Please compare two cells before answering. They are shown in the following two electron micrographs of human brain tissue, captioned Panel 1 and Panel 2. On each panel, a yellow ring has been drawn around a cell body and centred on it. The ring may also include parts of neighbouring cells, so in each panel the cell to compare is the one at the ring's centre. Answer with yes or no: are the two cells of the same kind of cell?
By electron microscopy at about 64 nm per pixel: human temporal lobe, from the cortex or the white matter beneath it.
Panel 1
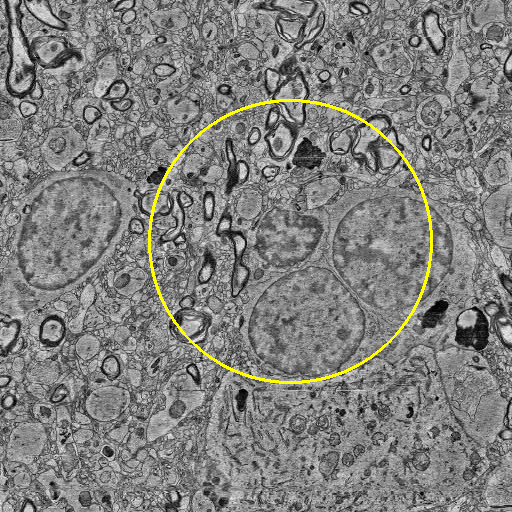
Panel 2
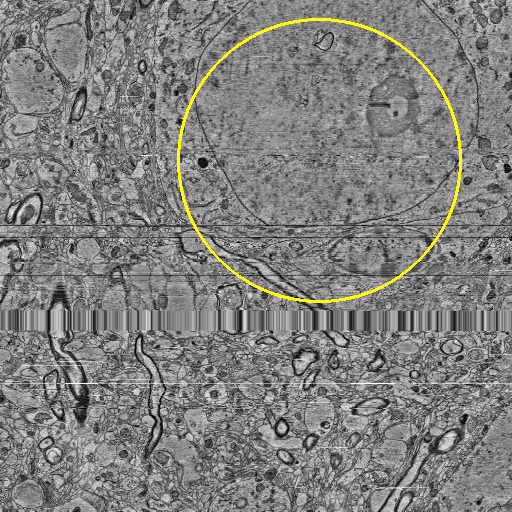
no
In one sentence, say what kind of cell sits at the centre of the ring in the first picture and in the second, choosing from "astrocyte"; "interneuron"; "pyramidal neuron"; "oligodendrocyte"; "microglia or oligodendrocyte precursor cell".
The first picture's ringed cell is an oligodendrocyte, while the second picture's is a pyramidal neuron.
